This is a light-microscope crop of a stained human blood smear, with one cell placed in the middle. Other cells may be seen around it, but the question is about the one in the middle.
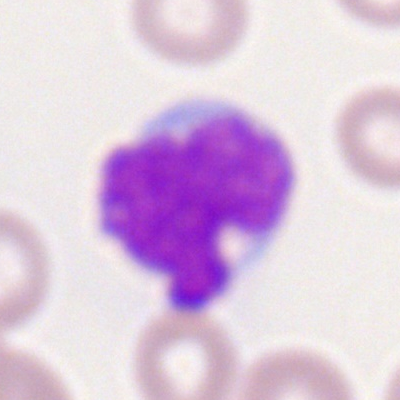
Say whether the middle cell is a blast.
yes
